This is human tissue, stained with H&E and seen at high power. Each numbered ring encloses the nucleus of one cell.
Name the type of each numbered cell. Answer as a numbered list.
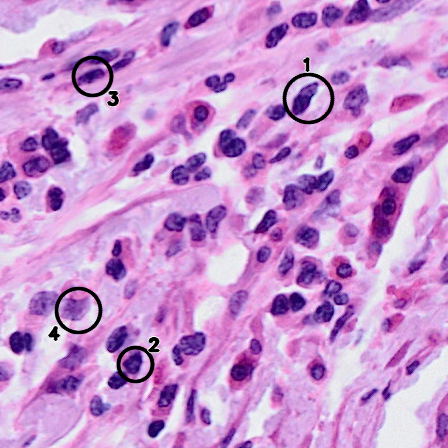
1. lymphocyte
2. lymphocyte
3. lymphocyte
4. macrophage or monocyte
